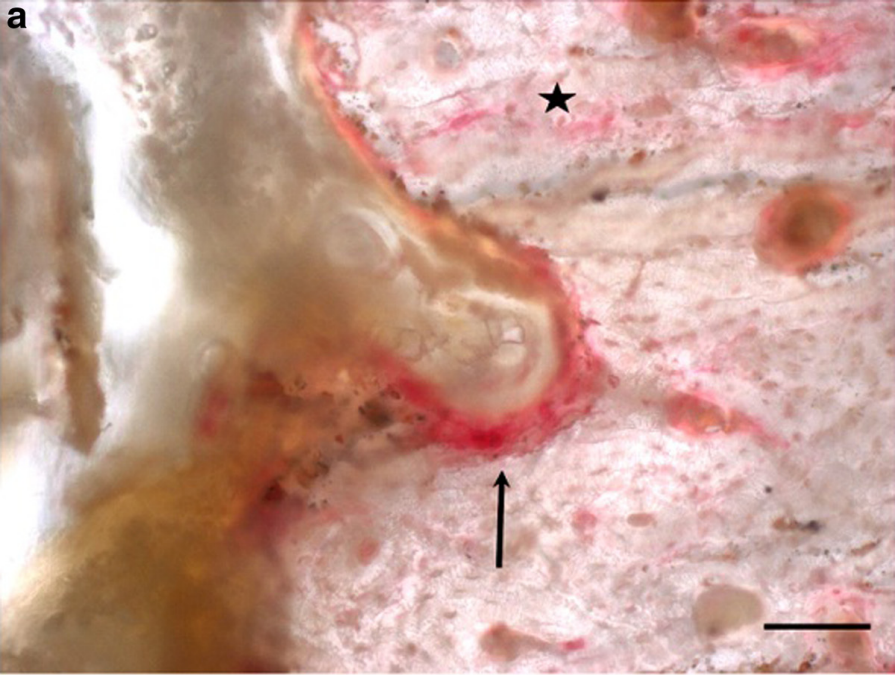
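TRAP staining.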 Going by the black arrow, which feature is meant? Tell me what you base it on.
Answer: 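The arrow points to a bright red rim lining a curved bone surface. The red-lined bone edge is concave where it borders the cavity.
Conclusion: Howship-lacunes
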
